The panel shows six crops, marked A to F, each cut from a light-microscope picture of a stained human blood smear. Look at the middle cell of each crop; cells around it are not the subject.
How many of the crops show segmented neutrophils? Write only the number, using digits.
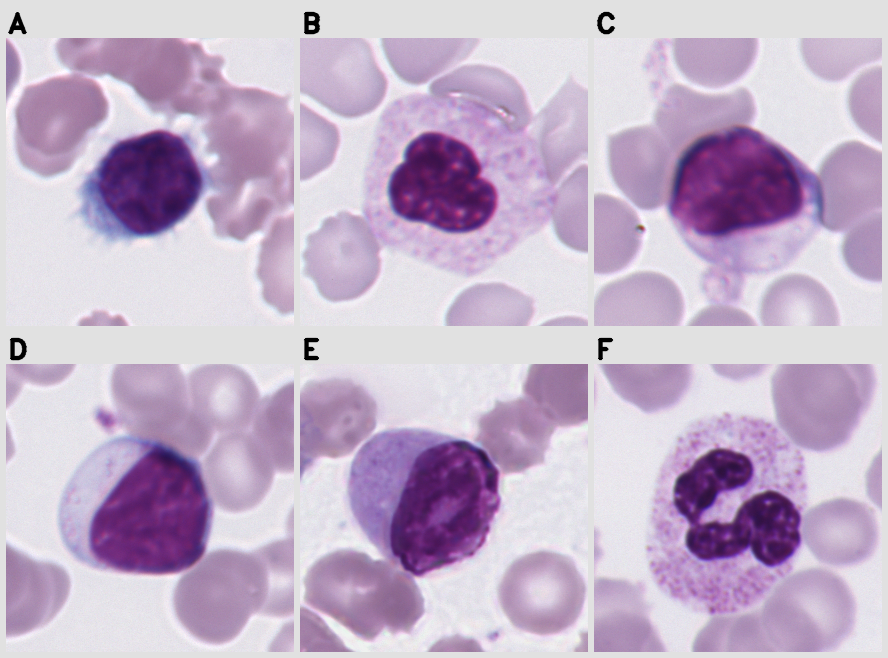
2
